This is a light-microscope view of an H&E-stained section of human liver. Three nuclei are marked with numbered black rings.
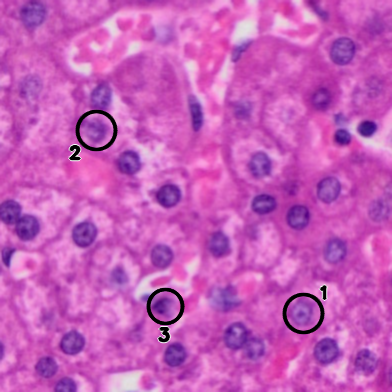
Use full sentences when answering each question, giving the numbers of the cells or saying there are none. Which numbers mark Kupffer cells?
Only at number 3 is there a Kupffer cell.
